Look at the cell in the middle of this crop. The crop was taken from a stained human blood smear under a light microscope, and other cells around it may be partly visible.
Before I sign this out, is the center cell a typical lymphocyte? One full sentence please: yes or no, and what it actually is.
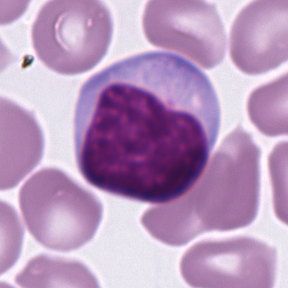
Yes, the cell at the middle of the field is to be classed as a typical lymphocyte.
